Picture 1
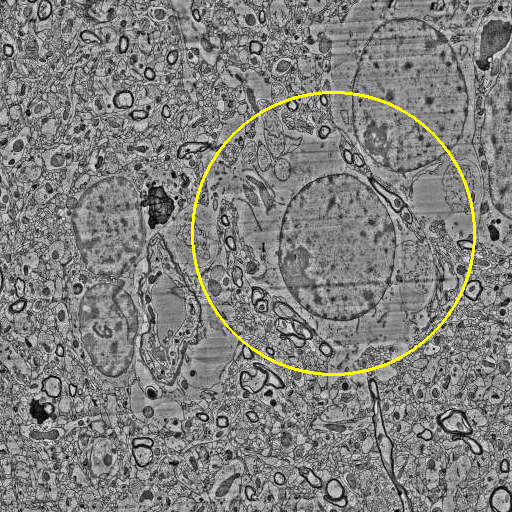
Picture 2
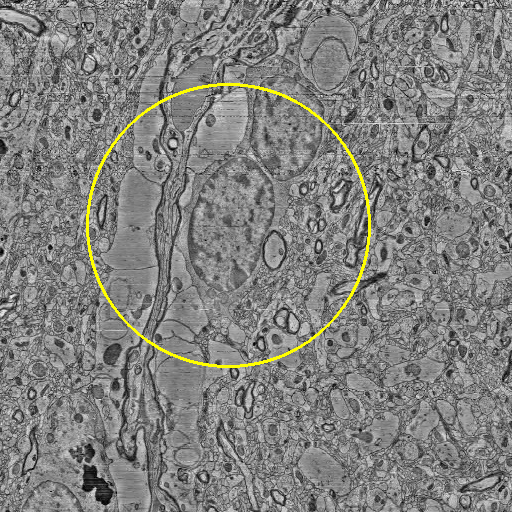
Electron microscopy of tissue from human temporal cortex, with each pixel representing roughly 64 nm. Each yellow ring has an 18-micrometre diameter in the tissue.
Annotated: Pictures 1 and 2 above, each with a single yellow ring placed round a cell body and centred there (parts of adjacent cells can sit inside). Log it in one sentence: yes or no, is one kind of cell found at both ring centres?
No, the ring centres of the two pictures hold cells of two kinds.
